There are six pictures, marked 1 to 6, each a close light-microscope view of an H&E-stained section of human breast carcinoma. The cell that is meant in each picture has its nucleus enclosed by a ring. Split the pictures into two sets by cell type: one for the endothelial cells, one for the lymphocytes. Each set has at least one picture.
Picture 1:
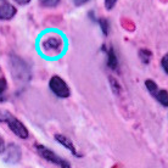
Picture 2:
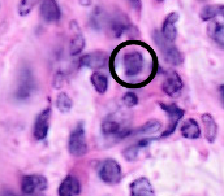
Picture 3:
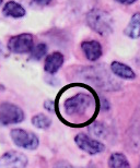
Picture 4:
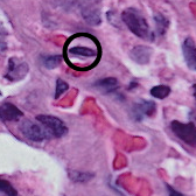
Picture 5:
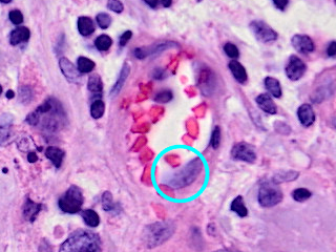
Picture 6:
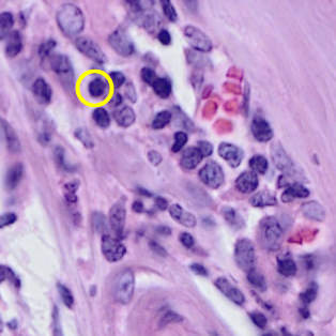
1: lymphocyte
2: lymphocyte
3: lymphocyte
4: endothelial cell
5: endothelial cell
6: lymphocyte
